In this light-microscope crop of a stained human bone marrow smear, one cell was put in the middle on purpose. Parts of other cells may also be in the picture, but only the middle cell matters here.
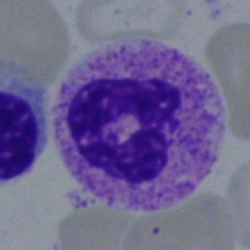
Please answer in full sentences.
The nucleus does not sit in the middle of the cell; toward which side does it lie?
The nucleus lies toward the left of the cell.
